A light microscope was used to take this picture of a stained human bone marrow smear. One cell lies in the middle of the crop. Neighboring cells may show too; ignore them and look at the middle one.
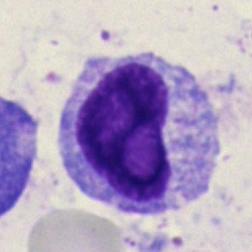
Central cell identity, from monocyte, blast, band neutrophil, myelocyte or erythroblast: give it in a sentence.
By classification, the middle cell of this crop is a myelocyte.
